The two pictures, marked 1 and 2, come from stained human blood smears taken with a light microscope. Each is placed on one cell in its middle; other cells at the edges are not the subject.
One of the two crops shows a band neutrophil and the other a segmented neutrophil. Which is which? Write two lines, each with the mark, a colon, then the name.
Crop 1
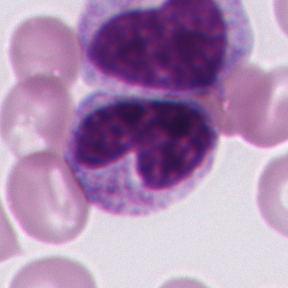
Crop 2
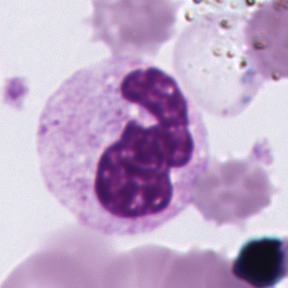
1: band neutrophil
2: segmented neutrophil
